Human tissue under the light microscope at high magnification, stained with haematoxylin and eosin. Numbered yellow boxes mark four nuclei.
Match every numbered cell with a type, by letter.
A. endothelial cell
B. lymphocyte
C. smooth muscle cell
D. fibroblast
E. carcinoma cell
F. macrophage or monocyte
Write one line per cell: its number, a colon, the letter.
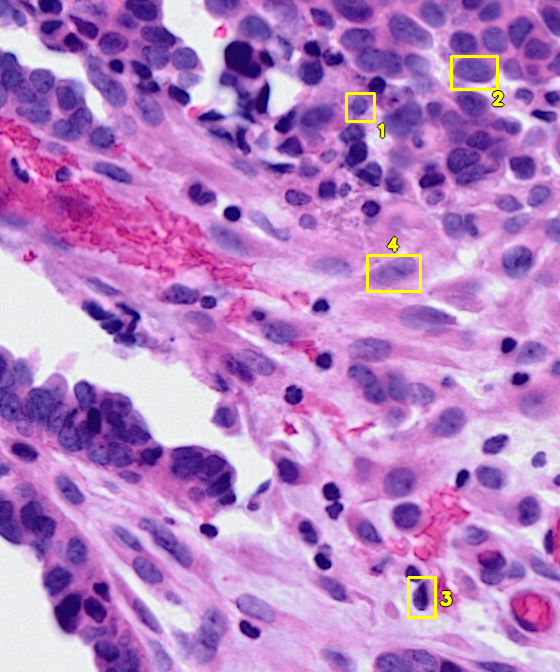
1: F
2: E
3: B
4: D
